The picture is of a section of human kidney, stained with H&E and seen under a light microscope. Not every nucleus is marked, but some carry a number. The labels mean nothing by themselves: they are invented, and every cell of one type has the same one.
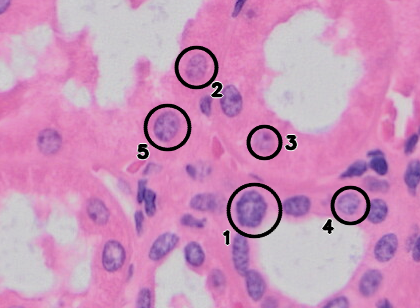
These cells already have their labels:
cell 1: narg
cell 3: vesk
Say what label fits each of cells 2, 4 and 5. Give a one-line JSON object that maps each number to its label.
{"2": "vesk", "4": "narg", "5": "vesk"}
